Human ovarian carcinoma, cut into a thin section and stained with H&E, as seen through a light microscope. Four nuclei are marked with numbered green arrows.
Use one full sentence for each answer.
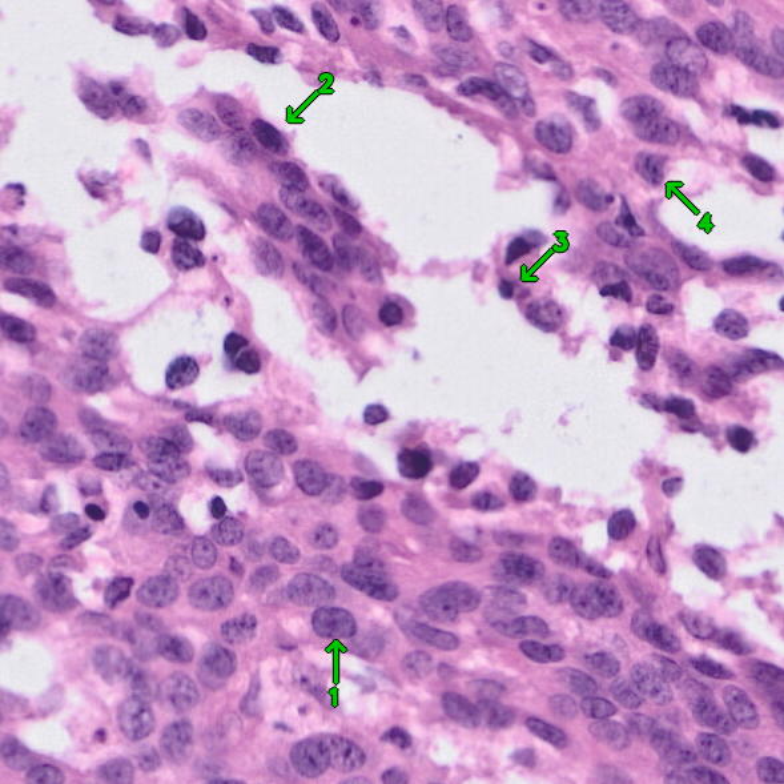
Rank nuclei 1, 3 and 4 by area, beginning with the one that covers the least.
Smallest first, the nuclei run 3, 4, 1.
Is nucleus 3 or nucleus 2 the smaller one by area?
It is nucleus 3; nucleus 2 has about 2 times its area.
